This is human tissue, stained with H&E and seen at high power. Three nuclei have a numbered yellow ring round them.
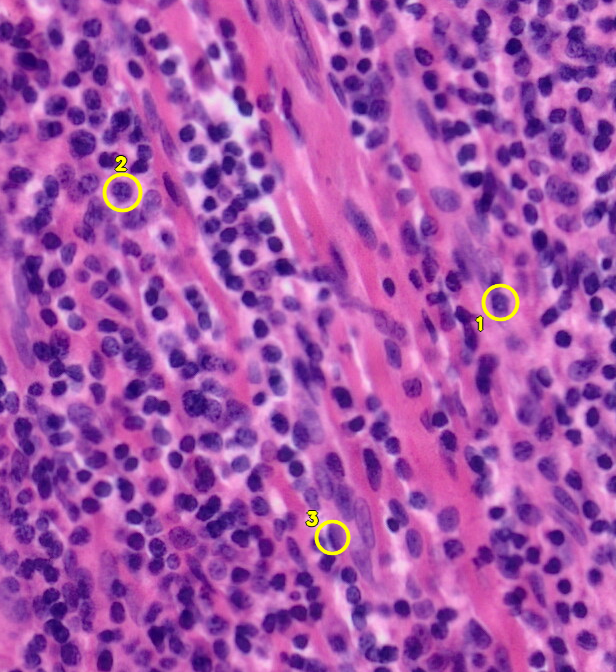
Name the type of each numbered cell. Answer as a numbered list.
1. endothelial cell
2. plasma cell
3. endothelial cell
